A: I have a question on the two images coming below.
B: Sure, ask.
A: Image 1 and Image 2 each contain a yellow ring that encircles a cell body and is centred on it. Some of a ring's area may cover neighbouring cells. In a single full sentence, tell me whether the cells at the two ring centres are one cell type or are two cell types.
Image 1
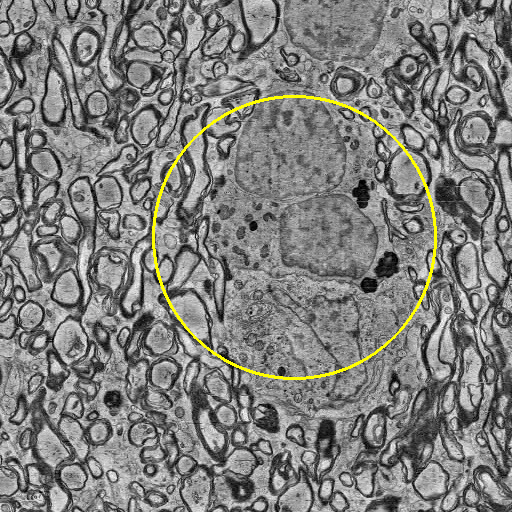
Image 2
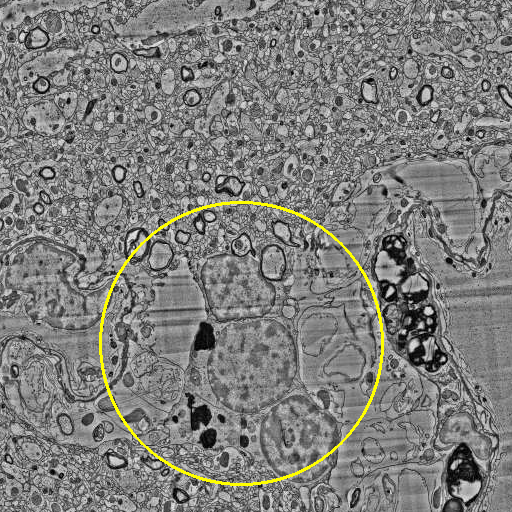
As for the ring-centre cells, the one in Image 1 and the one in Image 2 are one cell type.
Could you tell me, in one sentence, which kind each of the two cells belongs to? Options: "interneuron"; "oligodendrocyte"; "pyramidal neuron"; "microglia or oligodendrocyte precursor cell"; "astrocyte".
In the first picture and in the second, the ring is centred on an oligodendrocyte.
